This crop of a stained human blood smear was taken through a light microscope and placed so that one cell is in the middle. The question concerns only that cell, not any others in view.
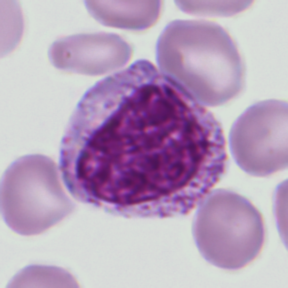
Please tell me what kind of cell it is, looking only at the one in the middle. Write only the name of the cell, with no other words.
metamyelocyte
